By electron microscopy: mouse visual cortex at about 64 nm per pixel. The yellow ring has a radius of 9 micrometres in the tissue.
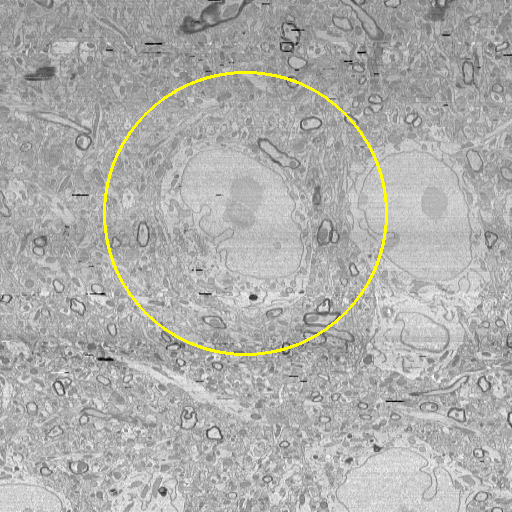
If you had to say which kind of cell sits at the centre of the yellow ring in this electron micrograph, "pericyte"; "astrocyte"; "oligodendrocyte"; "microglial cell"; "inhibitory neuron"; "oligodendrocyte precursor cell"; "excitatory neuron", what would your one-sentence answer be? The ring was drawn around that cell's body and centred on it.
The cell sitting at the centre of the ring is an inhibitory neuron.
